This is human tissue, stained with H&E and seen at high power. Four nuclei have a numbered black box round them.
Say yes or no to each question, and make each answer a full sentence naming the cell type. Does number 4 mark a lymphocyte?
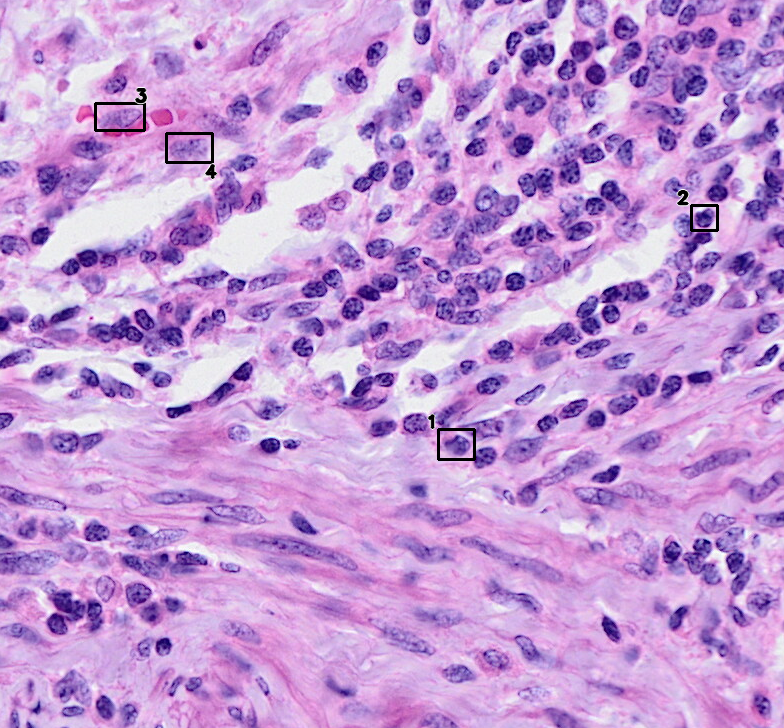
No, cell 4 is not a lymphocyte at all but an endothelial cell.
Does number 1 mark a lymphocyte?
Yes, the cell that bears the number 1 is a lymphocyte.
